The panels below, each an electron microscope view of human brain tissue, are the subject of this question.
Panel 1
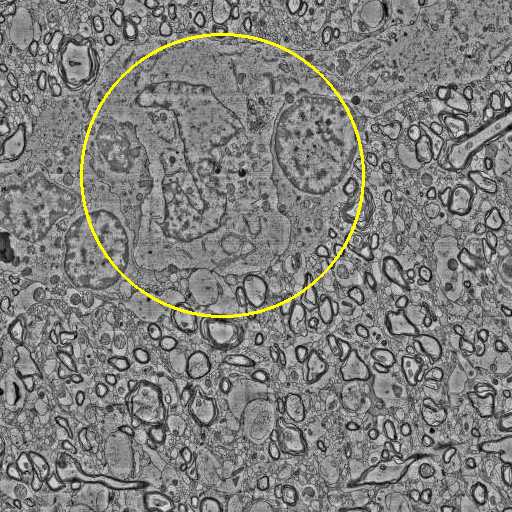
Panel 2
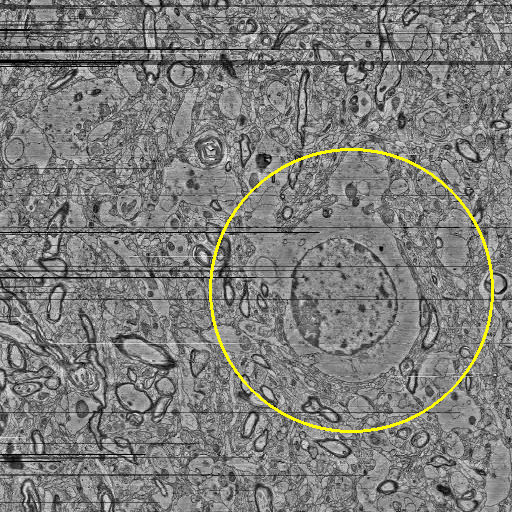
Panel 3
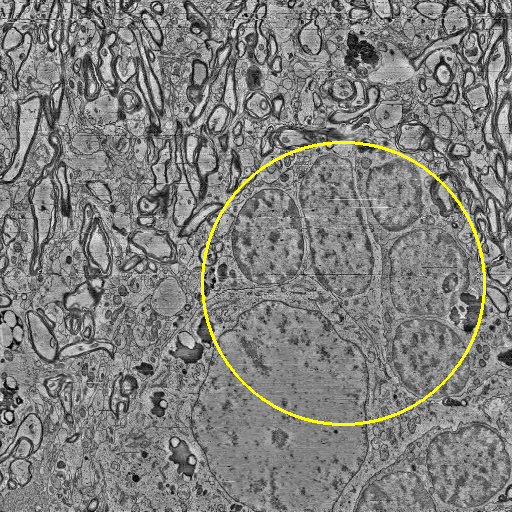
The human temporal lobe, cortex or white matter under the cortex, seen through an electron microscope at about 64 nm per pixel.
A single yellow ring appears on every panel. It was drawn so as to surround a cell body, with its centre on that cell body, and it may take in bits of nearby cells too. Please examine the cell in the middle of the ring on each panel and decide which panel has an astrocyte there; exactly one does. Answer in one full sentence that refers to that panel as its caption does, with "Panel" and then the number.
Panel 2 is where the ring's central cell answers the question.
